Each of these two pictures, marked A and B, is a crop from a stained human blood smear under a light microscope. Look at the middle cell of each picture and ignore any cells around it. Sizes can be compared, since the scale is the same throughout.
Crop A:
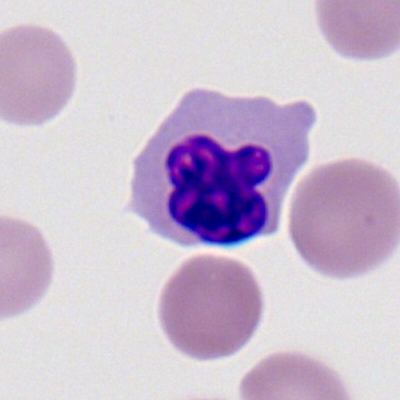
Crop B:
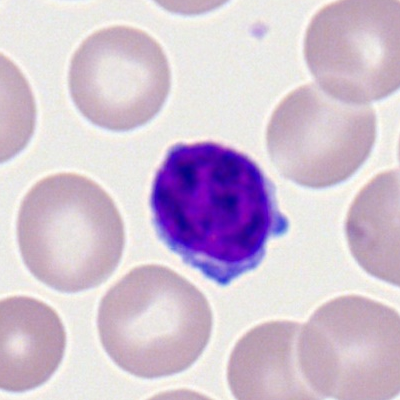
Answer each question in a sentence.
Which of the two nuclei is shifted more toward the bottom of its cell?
In crop A the nucleus is shifted more toward the bottom.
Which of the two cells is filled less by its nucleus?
In crop A the nucleus takes up the smaller part of its cell.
